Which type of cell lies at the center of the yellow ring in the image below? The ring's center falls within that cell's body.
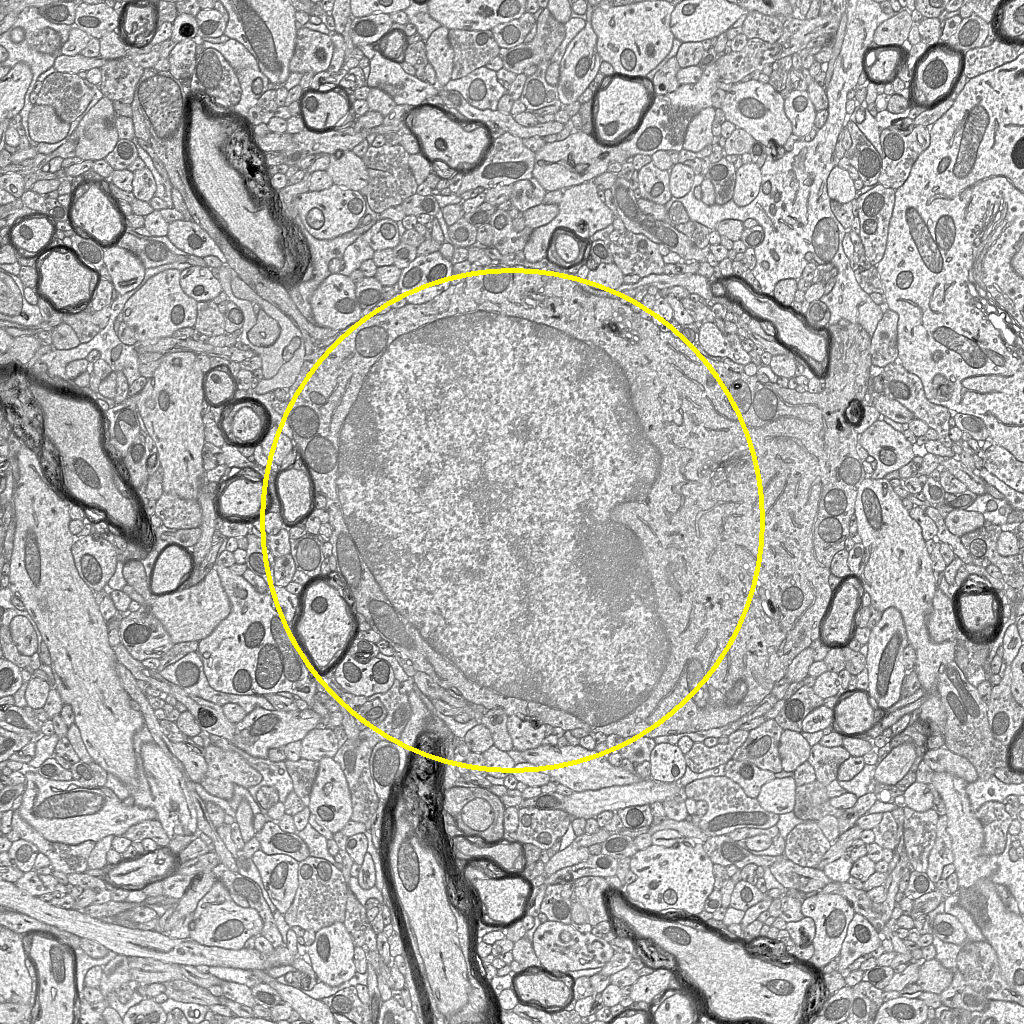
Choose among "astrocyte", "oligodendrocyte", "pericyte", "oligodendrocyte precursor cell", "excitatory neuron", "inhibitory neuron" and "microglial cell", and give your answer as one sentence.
The cell body at the center belongs to an oligodendrocyte.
